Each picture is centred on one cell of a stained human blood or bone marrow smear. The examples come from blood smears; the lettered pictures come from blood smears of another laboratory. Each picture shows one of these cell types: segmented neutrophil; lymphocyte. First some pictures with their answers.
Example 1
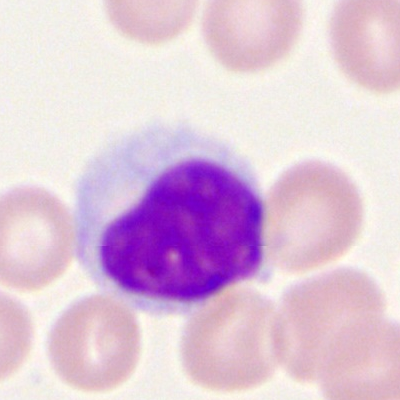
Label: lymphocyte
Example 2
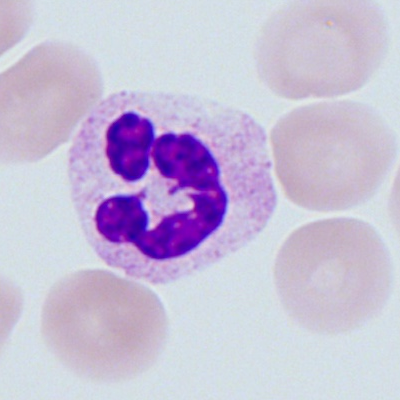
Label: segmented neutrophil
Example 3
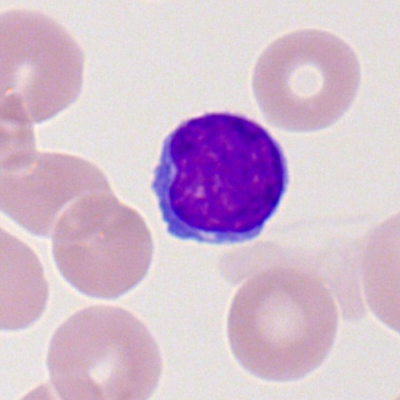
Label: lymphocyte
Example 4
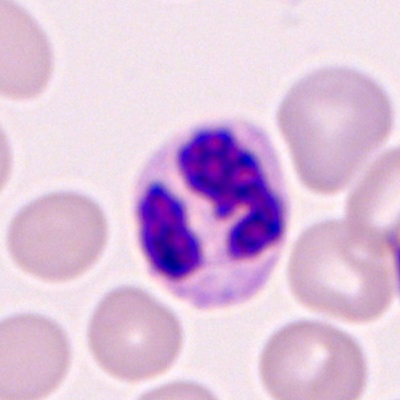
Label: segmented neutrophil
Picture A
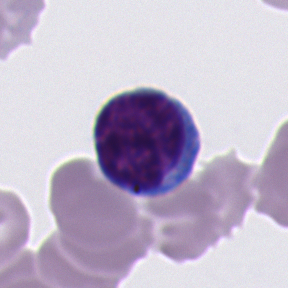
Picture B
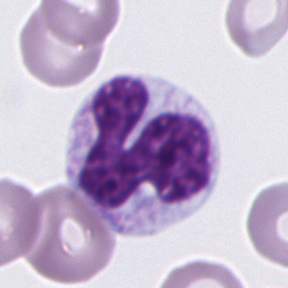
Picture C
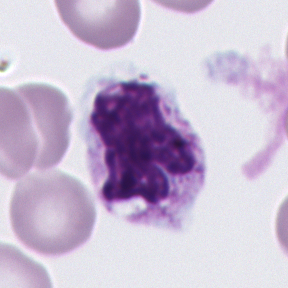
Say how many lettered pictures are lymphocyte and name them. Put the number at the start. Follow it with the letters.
Count: 1 (A)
